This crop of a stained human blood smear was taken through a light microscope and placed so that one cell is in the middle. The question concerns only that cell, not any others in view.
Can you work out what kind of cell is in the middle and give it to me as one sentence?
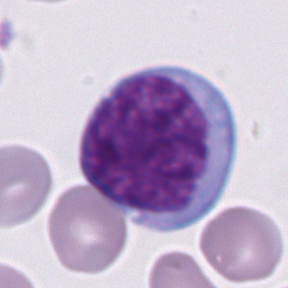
In short, the cell at the center is a myeloblast.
